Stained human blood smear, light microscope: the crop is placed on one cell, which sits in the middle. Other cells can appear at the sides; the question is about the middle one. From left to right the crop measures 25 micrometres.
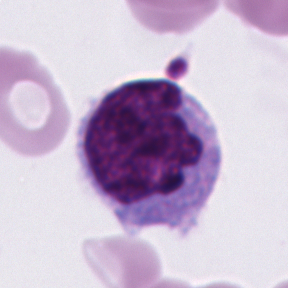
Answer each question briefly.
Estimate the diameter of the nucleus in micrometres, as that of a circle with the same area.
10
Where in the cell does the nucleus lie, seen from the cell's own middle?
upper left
